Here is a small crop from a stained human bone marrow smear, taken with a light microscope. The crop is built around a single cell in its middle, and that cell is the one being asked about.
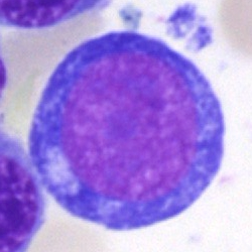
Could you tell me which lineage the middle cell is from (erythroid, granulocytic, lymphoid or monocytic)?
erythroid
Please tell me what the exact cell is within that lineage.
proerythroblast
